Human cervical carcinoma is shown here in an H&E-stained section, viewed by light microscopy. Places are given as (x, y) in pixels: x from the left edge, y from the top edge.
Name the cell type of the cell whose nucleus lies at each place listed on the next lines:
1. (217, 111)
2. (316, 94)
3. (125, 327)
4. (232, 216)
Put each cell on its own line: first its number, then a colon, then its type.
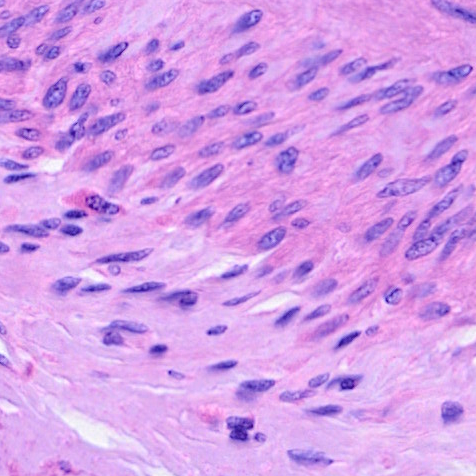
1: smooth muscle cell
2: smooth muscle cell
3: fibroblast
4: smooth muscle cell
